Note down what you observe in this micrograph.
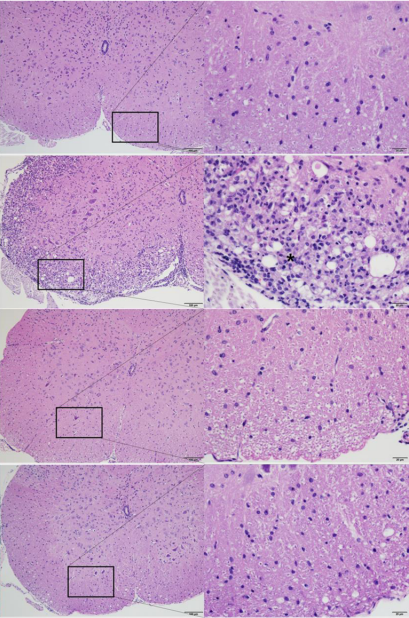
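In one row the tissue is crowded with densely packed small, round, dark purple nuclei of infiltrating inflammatory cells, with scattered empty vacuoles. In the other rows the pink, finely textured tissue holds only sparse, evenly spaced nuclei.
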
